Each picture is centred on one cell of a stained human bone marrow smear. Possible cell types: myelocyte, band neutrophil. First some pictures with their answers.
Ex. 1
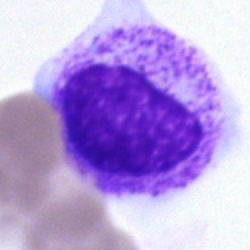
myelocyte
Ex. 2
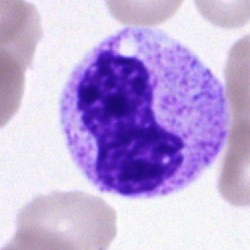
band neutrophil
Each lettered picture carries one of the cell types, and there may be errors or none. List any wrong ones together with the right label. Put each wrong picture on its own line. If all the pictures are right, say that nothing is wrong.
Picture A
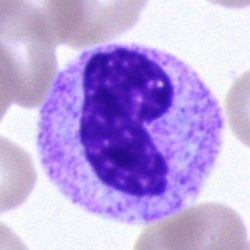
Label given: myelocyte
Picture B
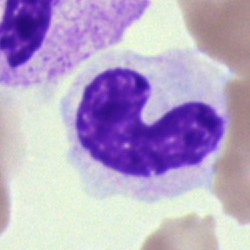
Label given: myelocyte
A: band neutrophil, not myelocyte
B: band neutrophil, not myelocyte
